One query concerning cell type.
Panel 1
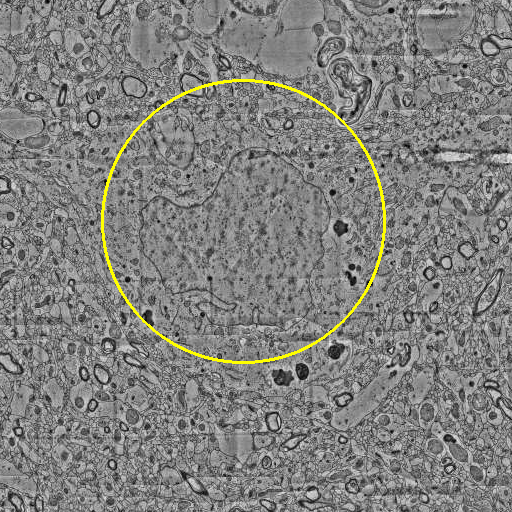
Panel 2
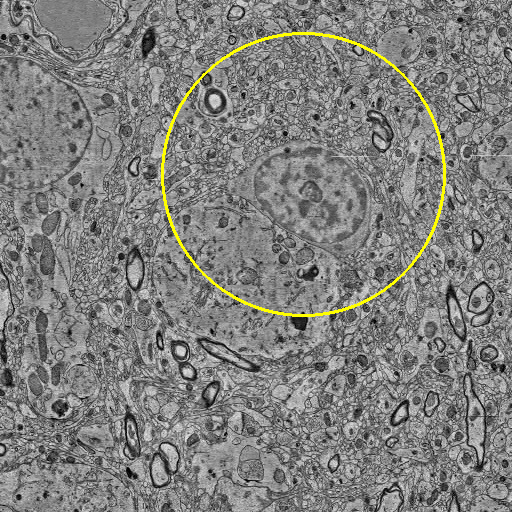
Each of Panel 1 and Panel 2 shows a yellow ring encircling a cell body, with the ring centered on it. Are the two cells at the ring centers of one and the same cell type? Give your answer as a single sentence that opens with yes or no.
No, the cell centered in Panel 1 and the one in Panel 2 are of two types.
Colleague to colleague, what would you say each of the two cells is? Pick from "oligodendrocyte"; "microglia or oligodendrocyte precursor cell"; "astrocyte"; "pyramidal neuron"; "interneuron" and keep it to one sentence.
The cell in the first picture is a pyramidal neuron; the second picture's cell is an oligodendrocyte.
